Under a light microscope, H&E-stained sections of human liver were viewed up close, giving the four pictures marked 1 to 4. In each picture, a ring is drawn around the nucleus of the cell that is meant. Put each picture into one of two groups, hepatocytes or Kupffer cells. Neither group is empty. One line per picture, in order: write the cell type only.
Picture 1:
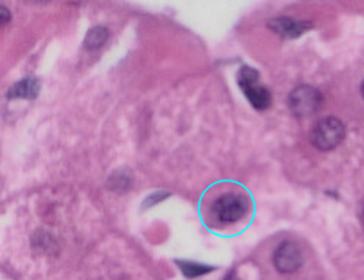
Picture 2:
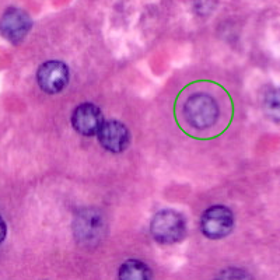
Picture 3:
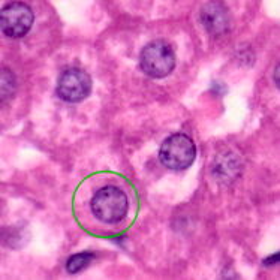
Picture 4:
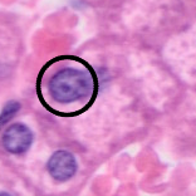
Kupffer cell
hepatocyte
hepatocyte
hepatocyte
